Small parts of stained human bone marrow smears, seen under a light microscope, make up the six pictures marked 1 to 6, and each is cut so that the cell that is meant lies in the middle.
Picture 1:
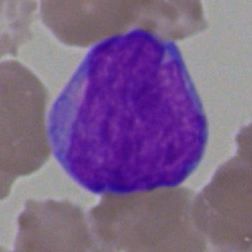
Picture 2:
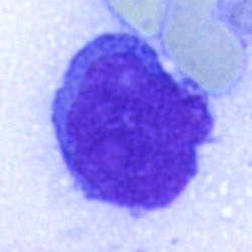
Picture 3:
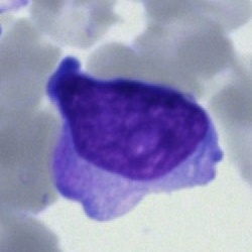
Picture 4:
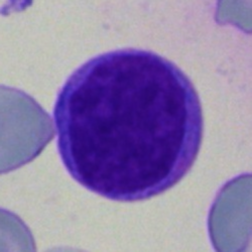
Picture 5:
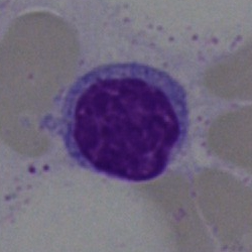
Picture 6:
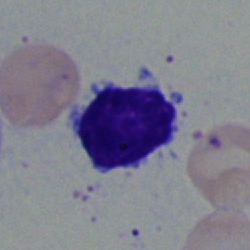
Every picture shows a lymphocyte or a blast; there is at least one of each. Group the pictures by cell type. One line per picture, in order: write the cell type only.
blast
blast
blast
blast
lymphocyte
lymphocyte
